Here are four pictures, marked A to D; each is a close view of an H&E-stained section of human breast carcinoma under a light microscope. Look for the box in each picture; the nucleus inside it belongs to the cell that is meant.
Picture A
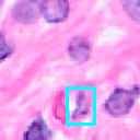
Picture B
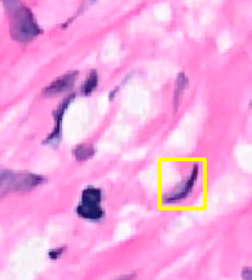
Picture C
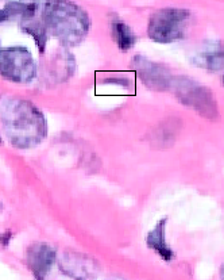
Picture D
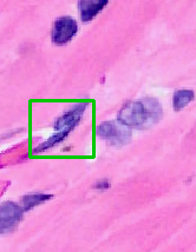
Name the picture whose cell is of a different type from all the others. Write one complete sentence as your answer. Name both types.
The others show endothelial cells, but picture B shows a fibroblast.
